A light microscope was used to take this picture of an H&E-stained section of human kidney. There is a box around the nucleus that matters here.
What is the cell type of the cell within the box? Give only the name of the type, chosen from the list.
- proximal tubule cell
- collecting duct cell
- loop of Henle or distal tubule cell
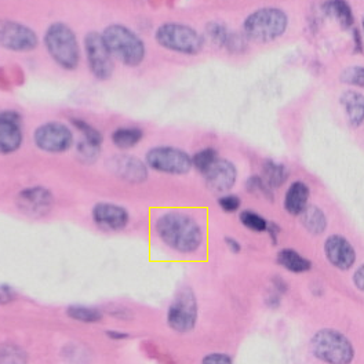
loop of Henle or distal tubule cell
